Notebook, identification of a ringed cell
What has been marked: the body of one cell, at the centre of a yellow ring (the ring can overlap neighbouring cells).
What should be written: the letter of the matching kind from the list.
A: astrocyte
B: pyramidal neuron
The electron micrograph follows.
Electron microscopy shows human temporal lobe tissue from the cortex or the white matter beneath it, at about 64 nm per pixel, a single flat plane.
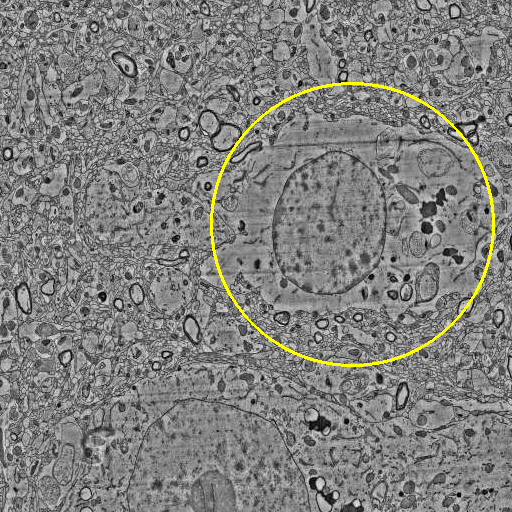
A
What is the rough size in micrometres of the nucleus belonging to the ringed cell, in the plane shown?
About 9 by 7 micrometers for the nucleus, in this plane.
